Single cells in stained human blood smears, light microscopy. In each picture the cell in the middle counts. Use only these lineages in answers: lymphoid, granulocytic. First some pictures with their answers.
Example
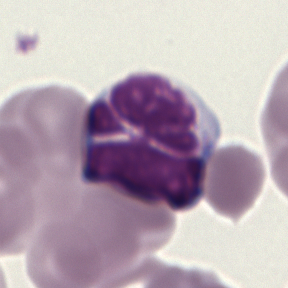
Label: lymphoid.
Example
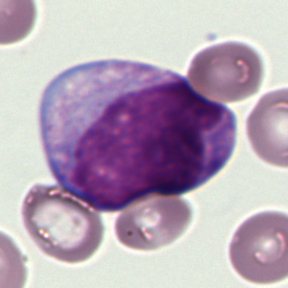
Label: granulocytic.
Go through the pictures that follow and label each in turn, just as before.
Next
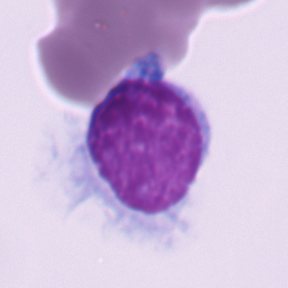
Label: lymphoid.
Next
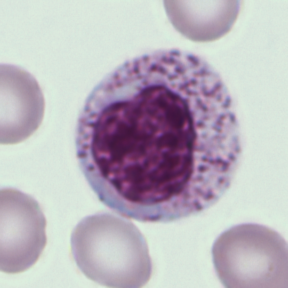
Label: granulocytic.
